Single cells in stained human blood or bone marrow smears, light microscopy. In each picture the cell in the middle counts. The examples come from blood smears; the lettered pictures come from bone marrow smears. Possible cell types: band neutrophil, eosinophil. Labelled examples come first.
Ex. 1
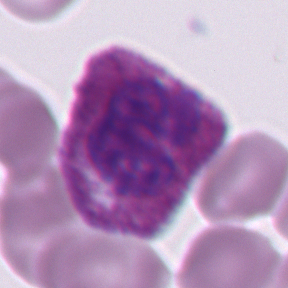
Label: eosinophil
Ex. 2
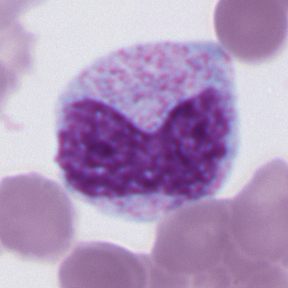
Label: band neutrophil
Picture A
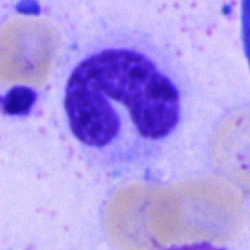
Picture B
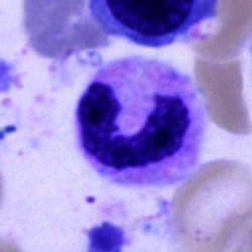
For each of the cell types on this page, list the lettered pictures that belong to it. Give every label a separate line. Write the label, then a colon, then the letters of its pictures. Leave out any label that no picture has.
band neutrophil: A, B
